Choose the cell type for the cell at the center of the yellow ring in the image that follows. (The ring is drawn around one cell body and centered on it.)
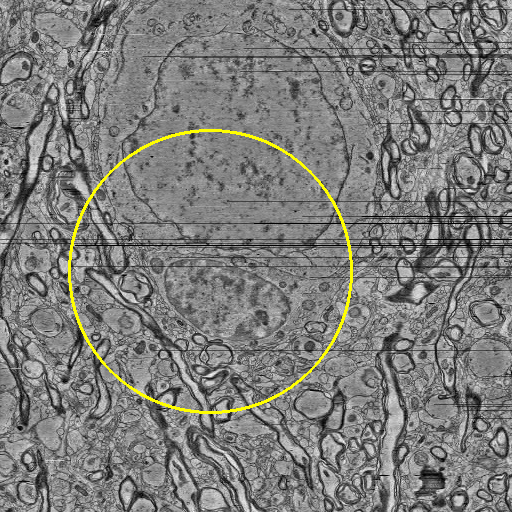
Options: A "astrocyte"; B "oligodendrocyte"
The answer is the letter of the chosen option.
B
